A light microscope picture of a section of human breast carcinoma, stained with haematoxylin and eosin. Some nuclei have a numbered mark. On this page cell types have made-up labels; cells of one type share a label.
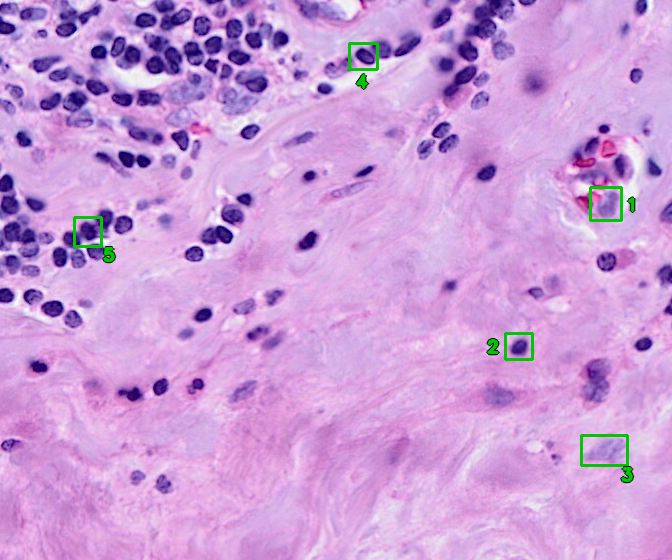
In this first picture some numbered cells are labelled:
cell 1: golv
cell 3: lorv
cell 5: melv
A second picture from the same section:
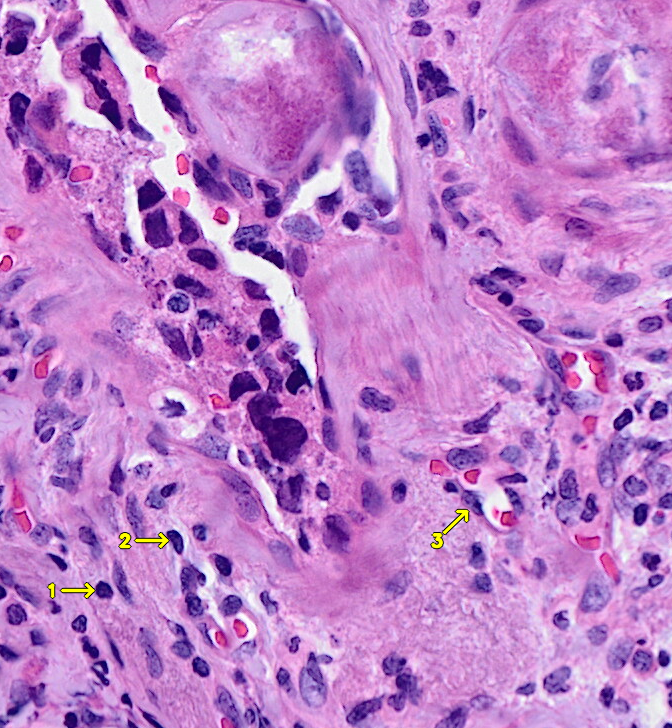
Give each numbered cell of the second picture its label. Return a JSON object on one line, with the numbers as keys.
{"1": "melv", "2": "melv", "3": "golv"}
